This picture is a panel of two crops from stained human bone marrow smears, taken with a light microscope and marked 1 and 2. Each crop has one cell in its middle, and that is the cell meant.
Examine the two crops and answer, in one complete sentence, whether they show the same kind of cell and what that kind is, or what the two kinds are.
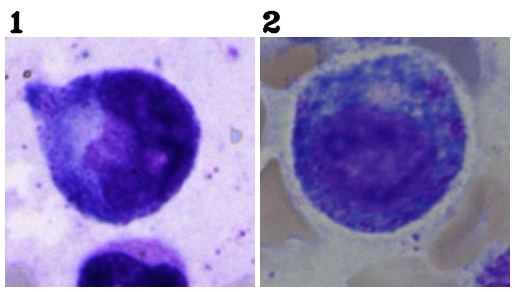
Yes, for both crops, the central cells are promyelocytes.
